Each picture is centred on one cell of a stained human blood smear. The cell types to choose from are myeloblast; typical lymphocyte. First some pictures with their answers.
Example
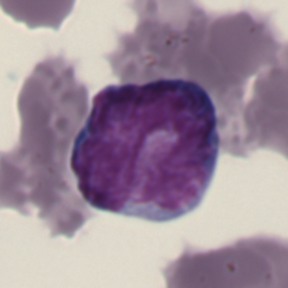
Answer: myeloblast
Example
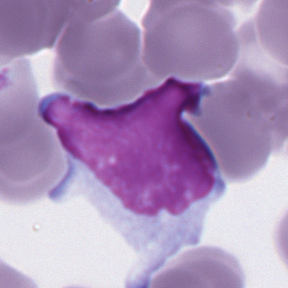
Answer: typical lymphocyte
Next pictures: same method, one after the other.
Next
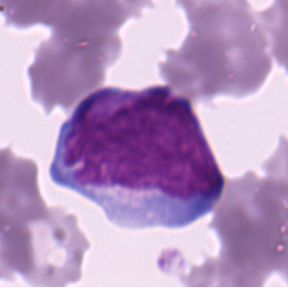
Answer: myeloblast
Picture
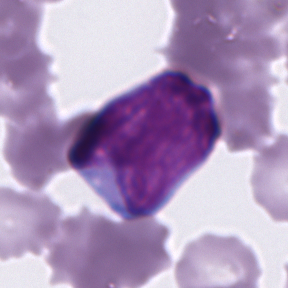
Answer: myeloblast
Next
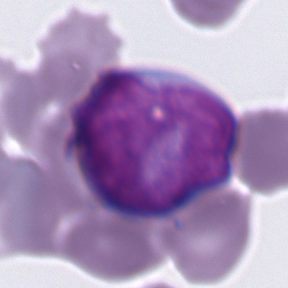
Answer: myeloblast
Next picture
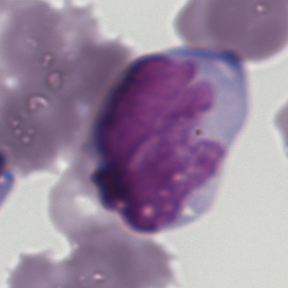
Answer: myeloblast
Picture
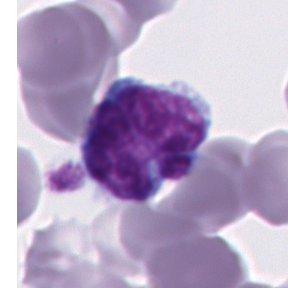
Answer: typical lymphocyte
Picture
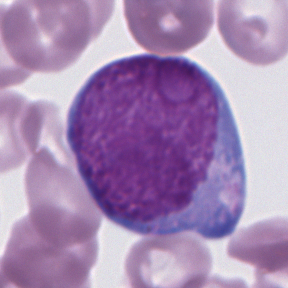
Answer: myeloblast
